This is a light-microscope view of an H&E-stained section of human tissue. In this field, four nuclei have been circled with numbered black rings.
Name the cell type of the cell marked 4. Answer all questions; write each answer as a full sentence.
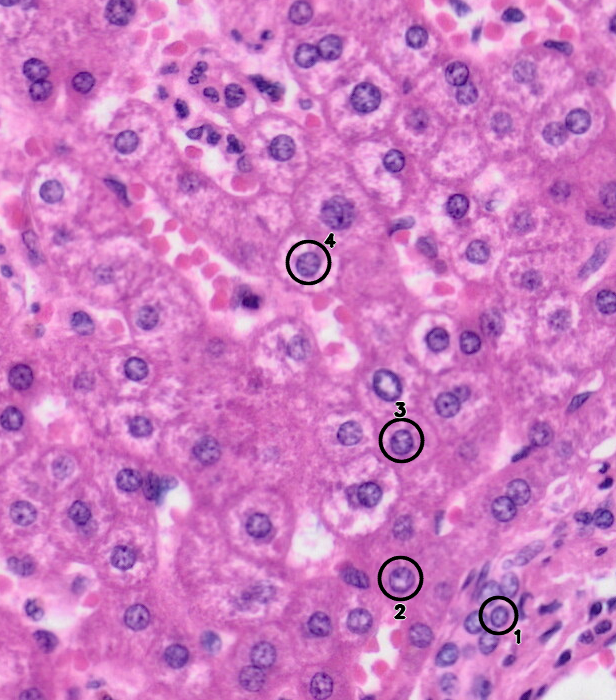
The one labeled 4 is a hepatocyte, to put it simply.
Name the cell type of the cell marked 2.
The nucleus with number 2 is that of a hepatocyte.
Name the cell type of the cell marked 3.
The cell referenced by the number 3 is a hepatocyte in this field.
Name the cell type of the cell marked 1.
The correct answer for cell 1 is a cholangiocyte.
